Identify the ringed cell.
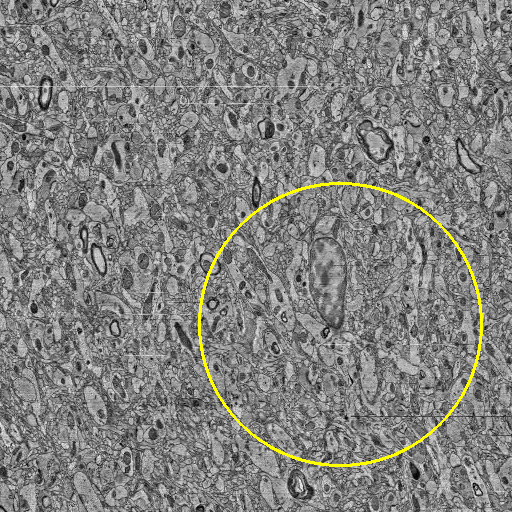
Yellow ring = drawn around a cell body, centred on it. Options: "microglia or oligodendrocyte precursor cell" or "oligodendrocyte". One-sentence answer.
What the ring is centred on is a microglial cell or oligodendrocyte precursor cell.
